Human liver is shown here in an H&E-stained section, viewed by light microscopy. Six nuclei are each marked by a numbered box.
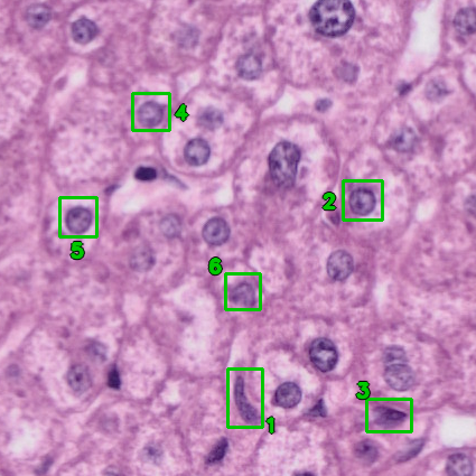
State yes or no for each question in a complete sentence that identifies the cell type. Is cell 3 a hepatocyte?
No, cell 3 is not to be taken for a hepatocyte; it is a fibroblast or stellate cell.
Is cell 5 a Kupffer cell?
No, number 5 belongs to a hepatocyte, not to a Kupffer cell.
